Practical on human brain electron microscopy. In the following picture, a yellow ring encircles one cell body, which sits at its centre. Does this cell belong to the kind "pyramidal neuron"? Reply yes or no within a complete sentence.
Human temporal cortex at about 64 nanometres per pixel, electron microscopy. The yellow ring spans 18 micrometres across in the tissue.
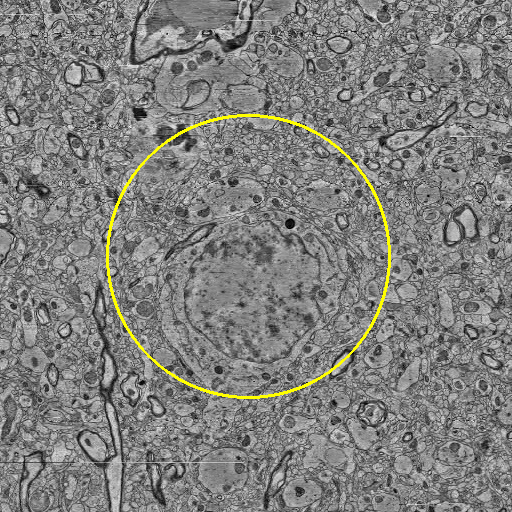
No, the cell lying within the ring at its centre is another kind.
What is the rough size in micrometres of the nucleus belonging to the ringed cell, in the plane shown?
In this plane the ringed cell's nucleus is roughly 9 micrometres across.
